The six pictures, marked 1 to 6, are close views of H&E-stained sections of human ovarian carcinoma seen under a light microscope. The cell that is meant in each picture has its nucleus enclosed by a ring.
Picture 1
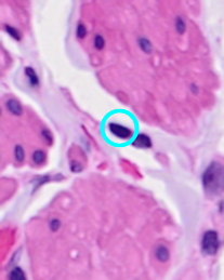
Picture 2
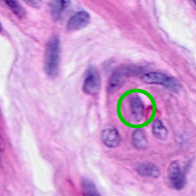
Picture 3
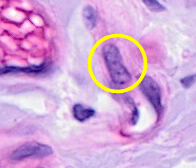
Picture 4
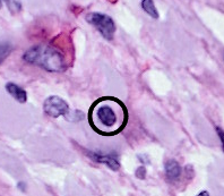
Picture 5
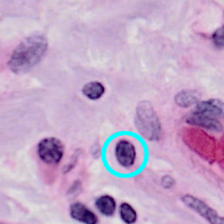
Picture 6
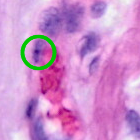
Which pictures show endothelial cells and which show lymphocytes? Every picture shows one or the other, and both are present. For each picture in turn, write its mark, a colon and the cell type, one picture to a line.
1: lymphocyte
2: endothelial cell
3: endothelial cell
4: lymphocyte
5: lymphocyte
6: endothelial cell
